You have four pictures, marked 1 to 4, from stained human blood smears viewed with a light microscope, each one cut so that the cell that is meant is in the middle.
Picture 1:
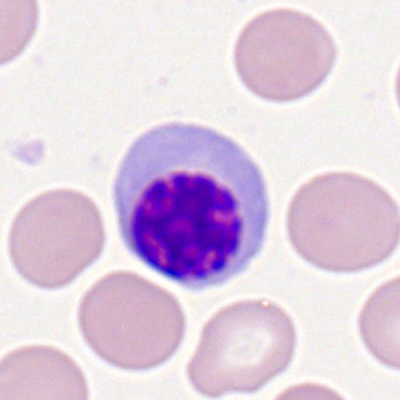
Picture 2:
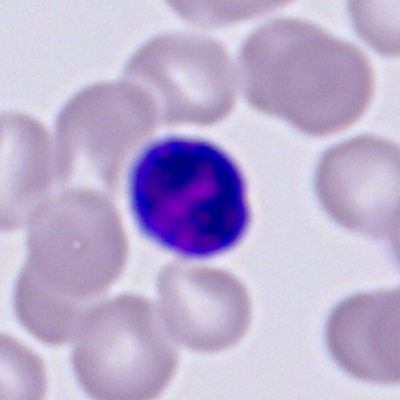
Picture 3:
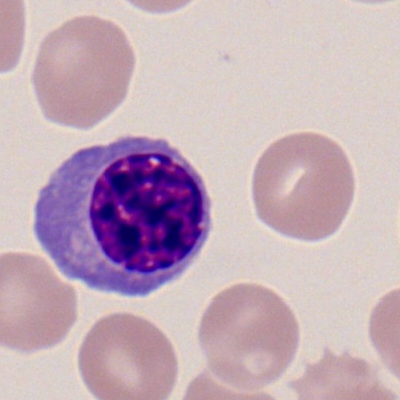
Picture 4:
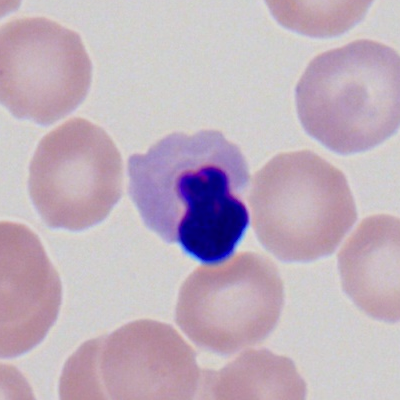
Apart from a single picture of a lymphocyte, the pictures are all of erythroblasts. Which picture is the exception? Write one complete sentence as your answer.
The picture with the lymphocyte is 2.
